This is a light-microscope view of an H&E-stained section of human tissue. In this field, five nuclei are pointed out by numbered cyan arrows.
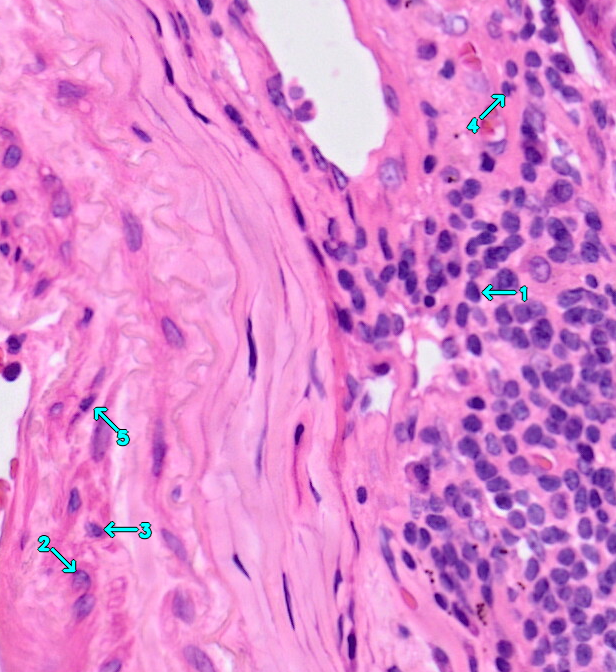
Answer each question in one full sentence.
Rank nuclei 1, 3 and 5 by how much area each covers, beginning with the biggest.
From largest to smallest, the order is 1, 3, 5.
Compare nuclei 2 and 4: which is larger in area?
Number 2 is larger; its area is about 2 times that of number 4.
